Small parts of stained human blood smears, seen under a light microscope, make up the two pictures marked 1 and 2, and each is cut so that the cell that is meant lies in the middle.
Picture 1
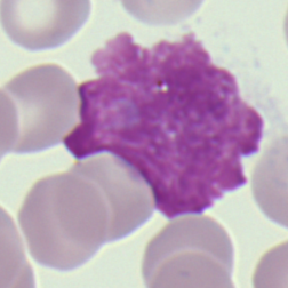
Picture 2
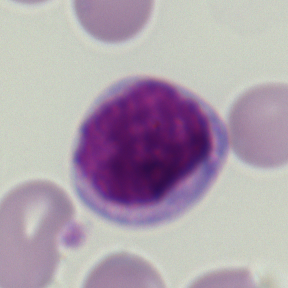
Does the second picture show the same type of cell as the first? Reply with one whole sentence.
No, picture 1 shows a smudge cell and picture 2 shows a large granular lymphocyte.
